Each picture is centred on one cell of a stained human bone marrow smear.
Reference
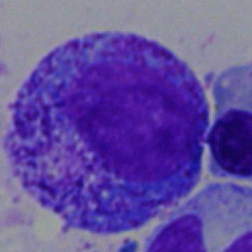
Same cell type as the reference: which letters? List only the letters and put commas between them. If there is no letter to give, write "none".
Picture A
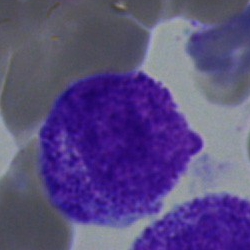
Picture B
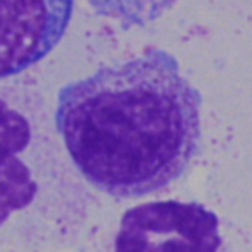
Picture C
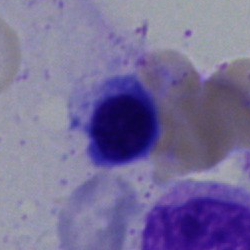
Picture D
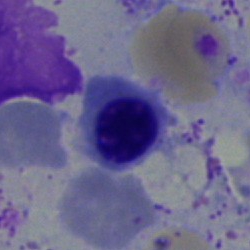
none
